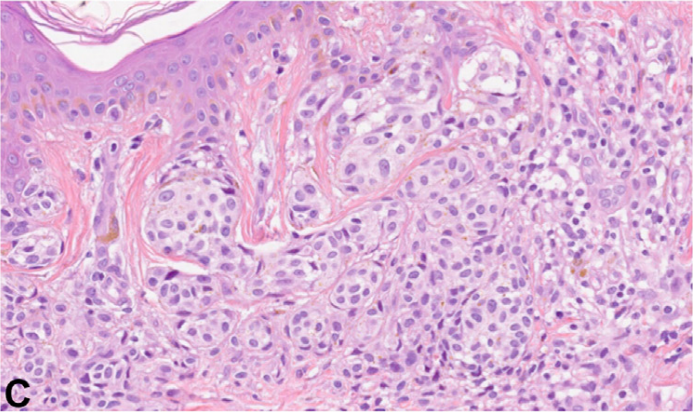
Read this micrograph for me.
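Skin with a compound melanocytic lesion: nests of epithelioid melanocytes at the base of the epidermis and in the underlying dermis. The epidermis at the top bears a thin layer of keratin, and some brown pigment lies in its lower layers. Rounded nests of large cells with pale pink cytoplasm and oval nuclei sit along the epidermal base, separated by strands of pink collagen.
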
